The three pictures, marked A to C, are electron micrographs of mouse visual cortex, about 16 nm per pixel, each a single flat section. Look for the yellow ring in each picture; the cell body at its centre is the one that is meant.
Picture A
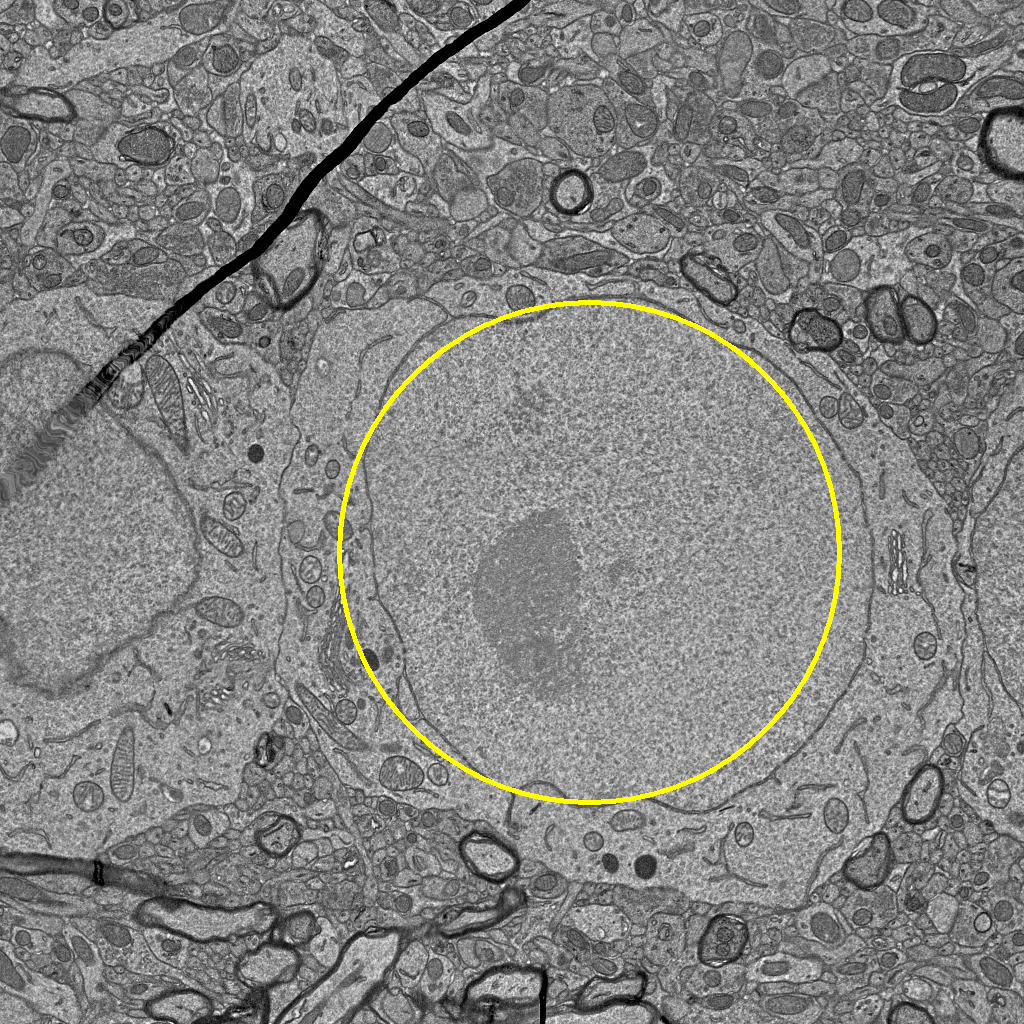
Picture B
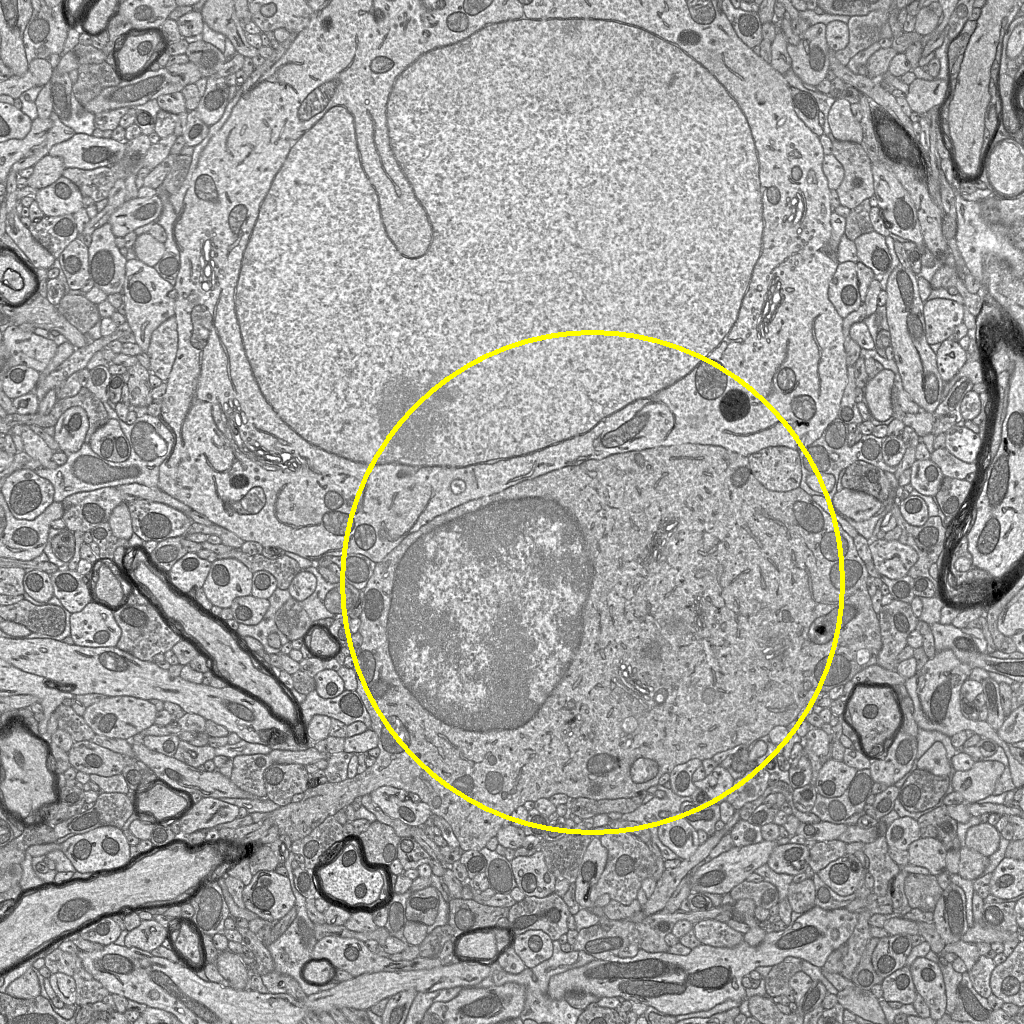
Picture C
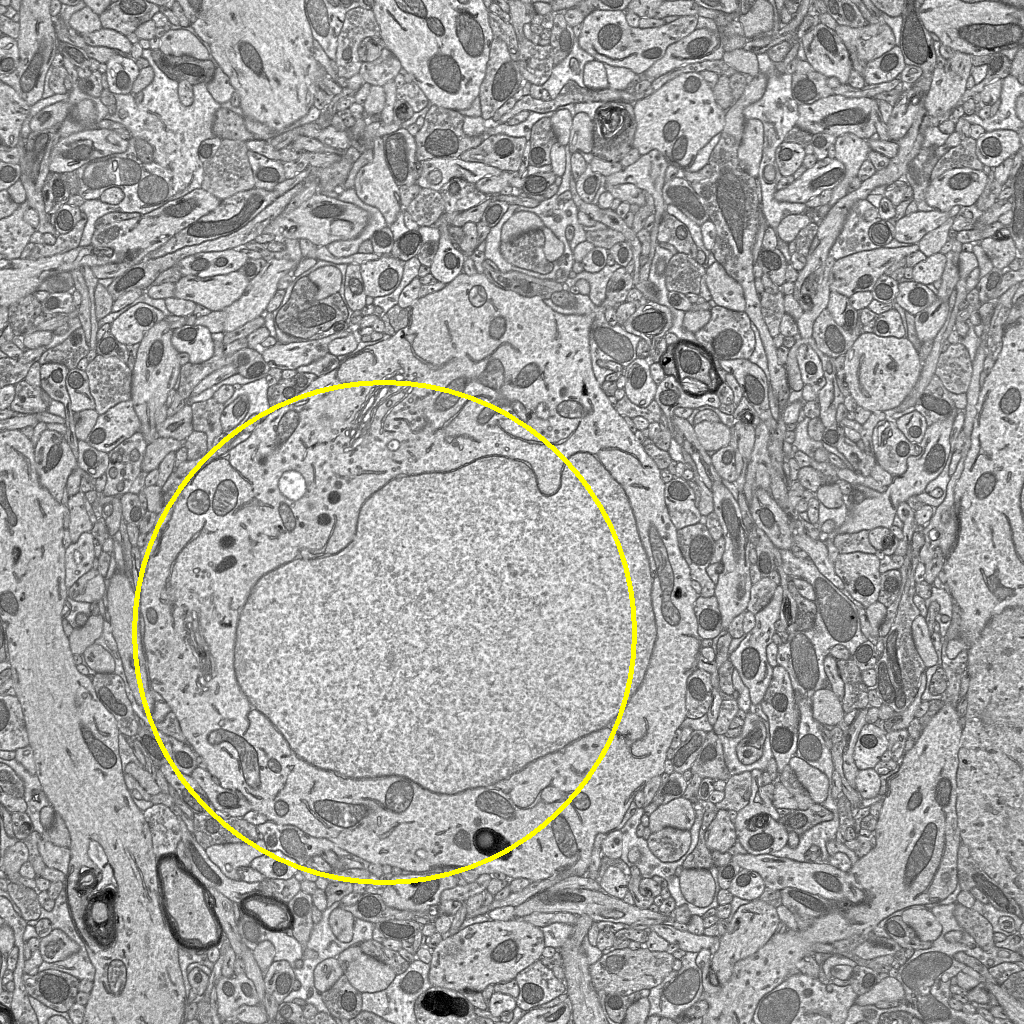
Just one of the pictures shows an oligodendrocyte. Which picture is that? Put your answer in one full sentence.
The oligodendrocyte is the one in picture B.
